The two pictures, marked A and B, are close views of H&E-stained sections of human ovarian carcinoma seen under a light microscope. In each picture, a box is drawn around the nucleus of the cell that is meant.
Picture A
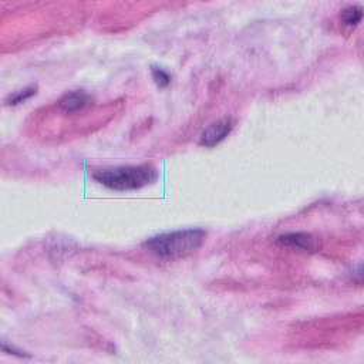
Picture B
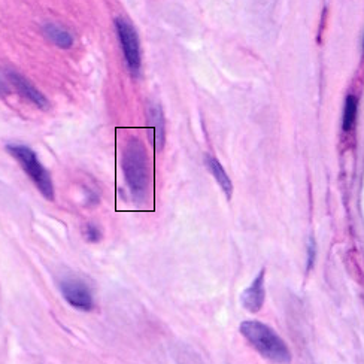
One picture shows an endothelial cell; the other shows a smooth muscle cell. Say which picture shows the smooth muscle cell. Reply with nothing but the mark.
B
